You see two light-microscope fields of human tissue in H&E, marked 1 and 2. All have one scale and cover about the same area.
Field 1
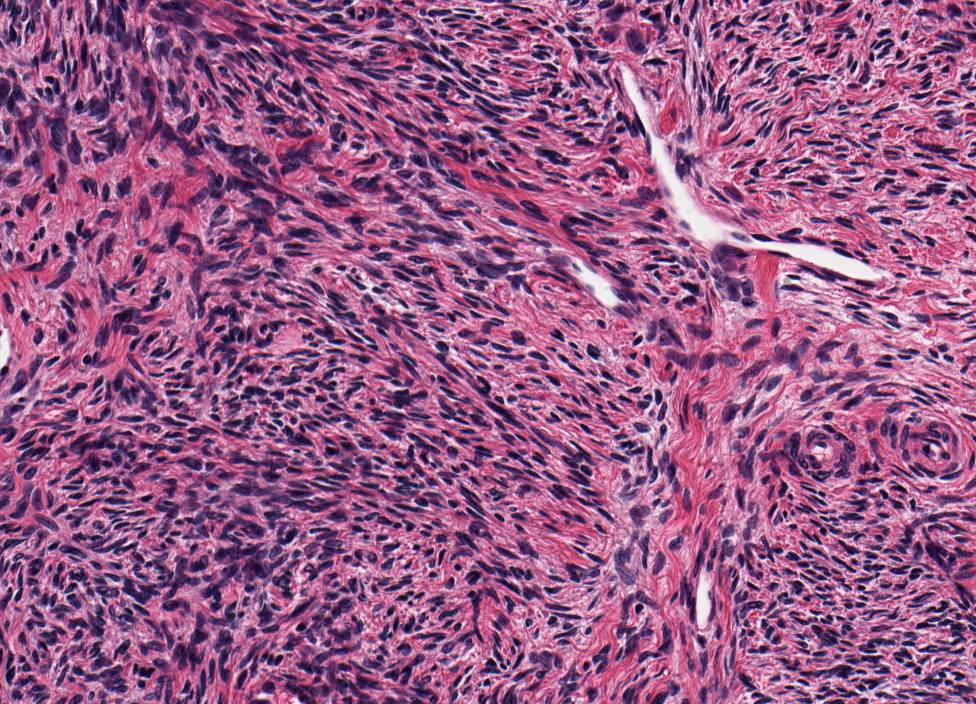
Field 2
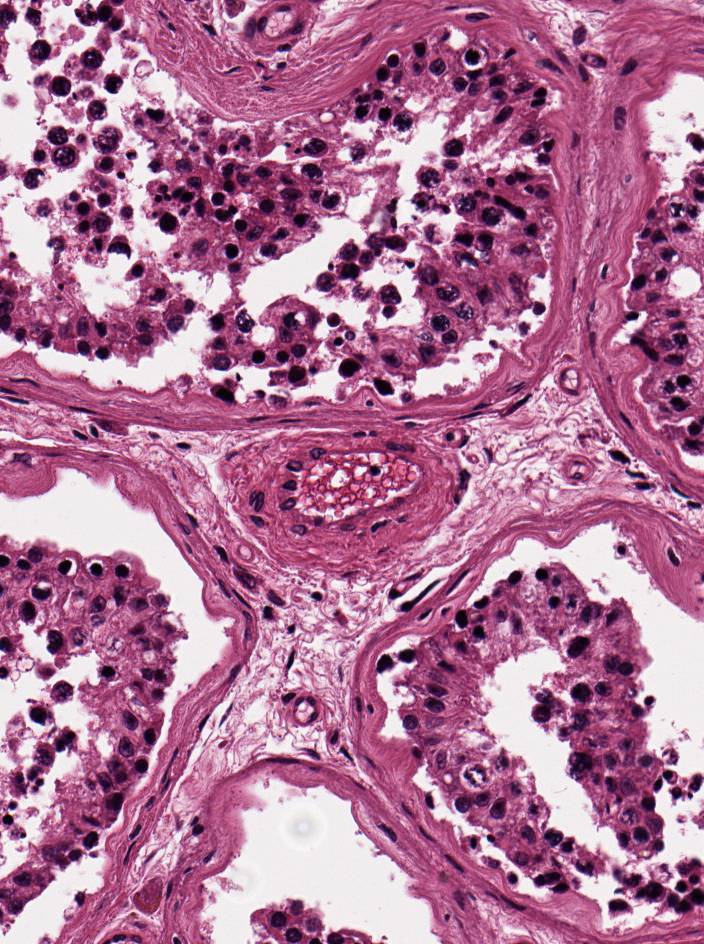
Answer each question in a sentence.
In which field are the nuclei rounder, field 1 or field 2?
Rounder nuclei lie in field 2.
